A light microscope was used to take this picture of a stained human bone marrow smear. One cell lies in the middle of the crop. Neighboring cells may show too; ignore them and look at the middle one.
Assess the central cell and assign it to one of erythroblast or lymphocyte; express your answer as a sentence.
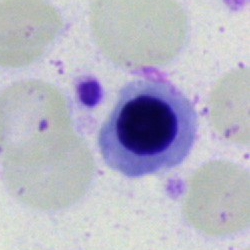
As for the cell in the middle, it is an erythroblast.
